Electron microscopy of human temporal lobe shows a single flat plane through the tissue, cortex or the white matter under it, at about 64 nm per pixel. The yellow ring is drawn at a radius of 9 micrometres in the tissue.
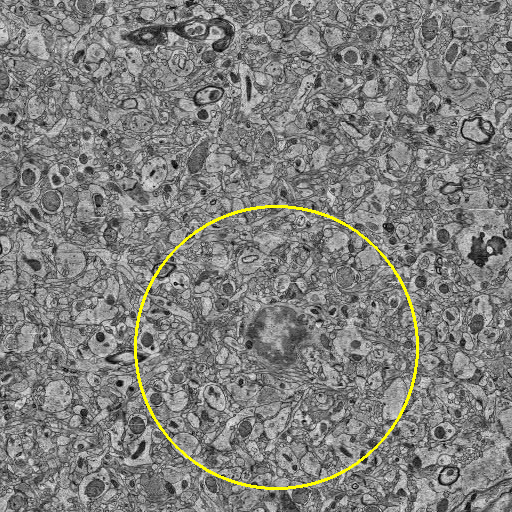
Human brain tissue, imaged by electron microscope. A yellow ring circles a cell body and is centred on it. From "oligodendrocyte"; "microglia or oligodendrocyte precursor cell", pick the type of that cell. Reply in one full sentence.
The cell body at the centre of the yellow ring belongs to an oligodendrocyte.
